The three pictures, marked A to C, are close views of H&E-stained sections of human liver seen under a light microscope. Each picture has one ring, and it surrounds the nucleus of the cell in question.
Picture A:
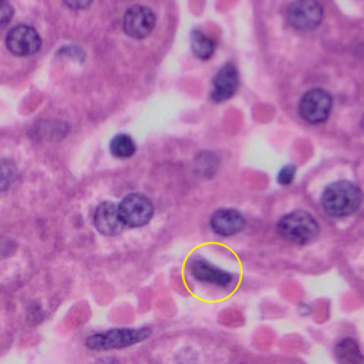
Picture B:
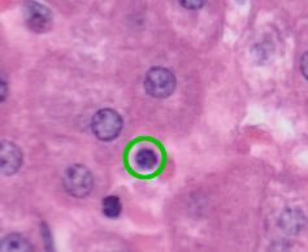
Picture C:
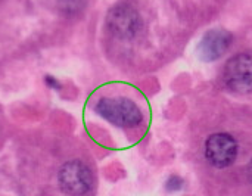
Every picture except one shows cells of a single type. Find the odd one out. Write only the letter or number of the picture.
B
